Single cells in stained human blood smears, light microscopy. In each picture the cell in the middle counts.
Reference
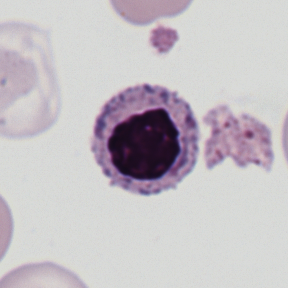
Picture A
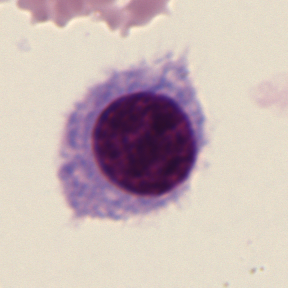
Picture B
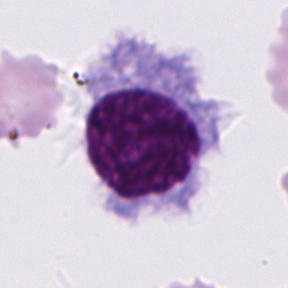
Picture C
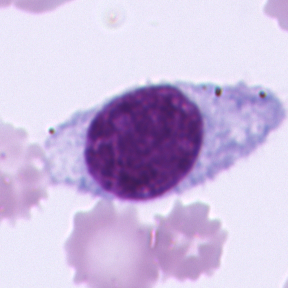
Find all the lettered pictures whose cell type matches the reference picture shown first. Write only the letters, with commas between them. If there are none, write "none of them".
none of them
